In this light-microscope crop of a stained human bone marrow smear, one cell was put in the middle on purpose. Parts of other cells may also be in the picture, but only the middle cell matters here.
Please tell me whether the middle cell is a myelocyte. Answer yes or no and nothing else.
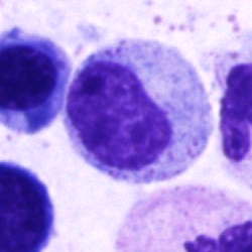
yes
